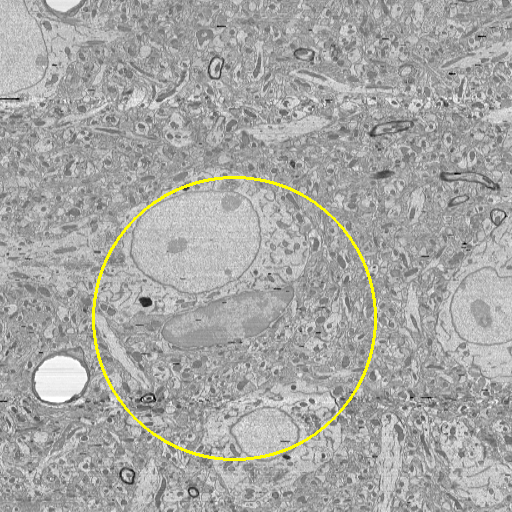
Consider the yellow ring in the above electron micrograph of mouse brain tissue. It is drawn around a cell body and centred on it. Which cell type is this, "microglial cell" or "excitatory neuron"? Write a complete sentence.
The cell in question is a microglial cell.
